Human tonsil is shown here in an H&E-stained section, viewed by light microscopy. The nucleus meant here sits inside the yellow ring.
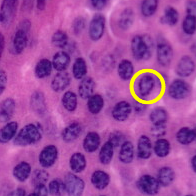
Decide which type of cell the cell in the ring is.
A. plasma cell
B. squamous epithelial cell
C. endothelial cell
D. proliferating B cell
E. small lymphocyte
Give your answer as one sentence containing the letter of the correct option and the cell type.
Option A is the one that fits, as the cell in the ring is a plasma cell.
